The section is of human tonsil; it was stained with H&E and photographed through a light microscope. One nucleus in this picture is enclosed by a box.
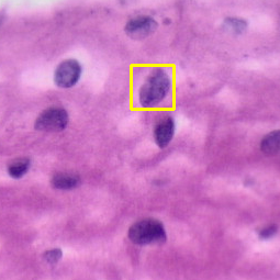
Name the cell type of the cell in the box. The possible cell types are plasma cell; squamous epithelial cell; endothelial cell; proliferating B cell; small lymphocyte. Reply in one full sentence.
On this particular slide, the cell in the box is a squamous epithelial cell.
